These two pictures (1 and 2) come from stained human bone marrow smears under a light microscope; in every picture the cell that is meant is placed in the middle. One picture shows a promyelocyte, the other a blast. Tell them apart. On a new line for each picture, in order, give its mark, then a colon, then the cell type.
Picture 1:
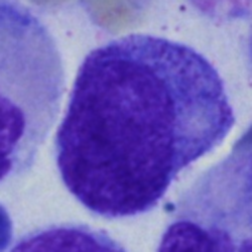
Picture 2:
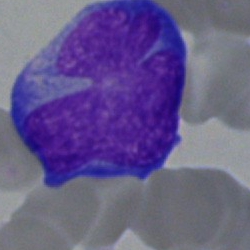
1: promyelocyte
2: blast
